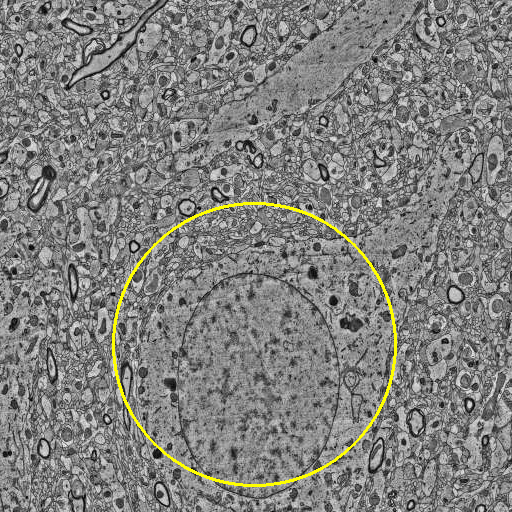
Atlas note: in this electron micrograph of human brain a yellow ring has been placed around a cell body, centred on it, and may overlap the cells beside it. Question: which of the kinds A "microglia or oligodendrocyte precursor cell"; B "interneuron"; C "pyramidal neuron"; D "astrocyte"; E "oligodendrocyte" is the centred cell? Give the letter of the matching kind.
C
